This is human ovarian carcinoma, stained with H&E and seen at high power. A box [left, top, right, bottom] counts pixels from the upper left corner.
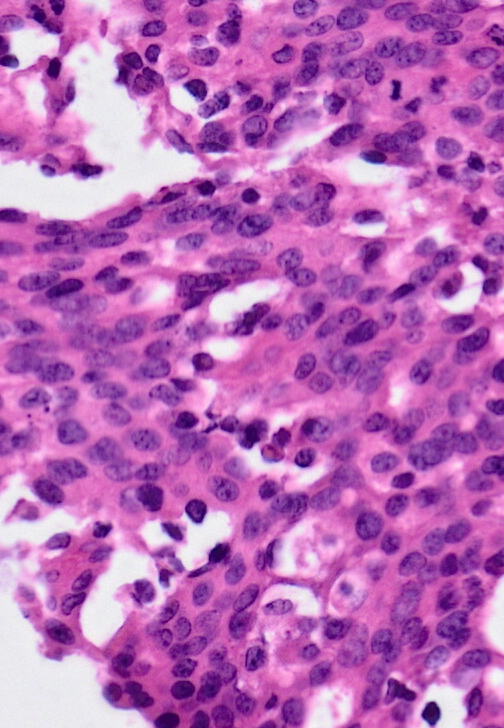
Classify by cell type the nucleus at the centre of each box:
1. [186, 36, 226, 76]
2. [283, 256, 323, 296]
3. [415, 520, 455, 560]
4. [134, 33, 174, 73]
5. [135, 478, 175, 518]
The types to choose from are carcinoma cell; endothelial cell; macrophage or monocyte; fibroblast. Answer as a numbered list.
1. macrophage or monocyte
2. carcinoma cell
3. carcinoma cell
4. macrophage or monocyte
5. carcinoma cell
